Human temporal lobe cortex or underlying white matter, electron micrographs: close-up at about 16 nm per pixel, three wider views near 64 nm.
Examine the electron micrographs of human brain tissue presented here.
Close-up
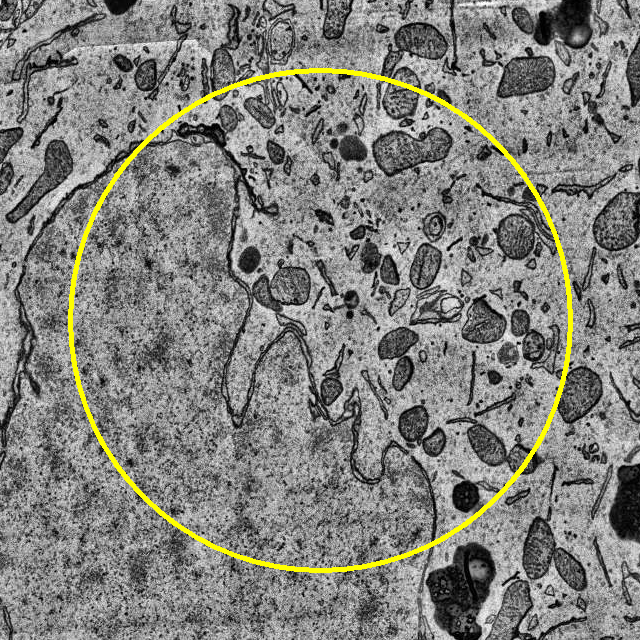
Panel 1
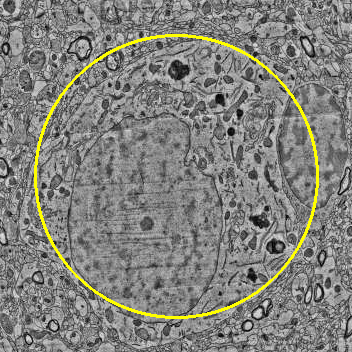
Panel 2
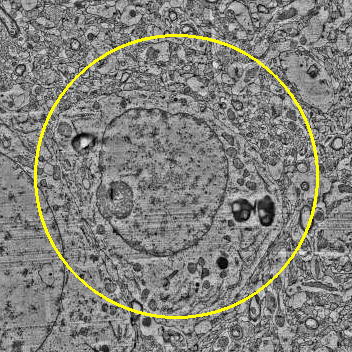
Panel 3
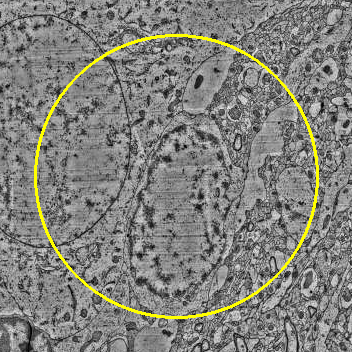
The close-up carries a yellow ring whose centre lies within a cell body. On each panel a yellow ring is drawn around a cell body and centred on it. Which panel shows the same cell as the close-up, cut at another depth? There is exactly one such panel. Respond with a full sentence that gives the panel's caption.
The close-up zooms in on the cell circled in Panel 1.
